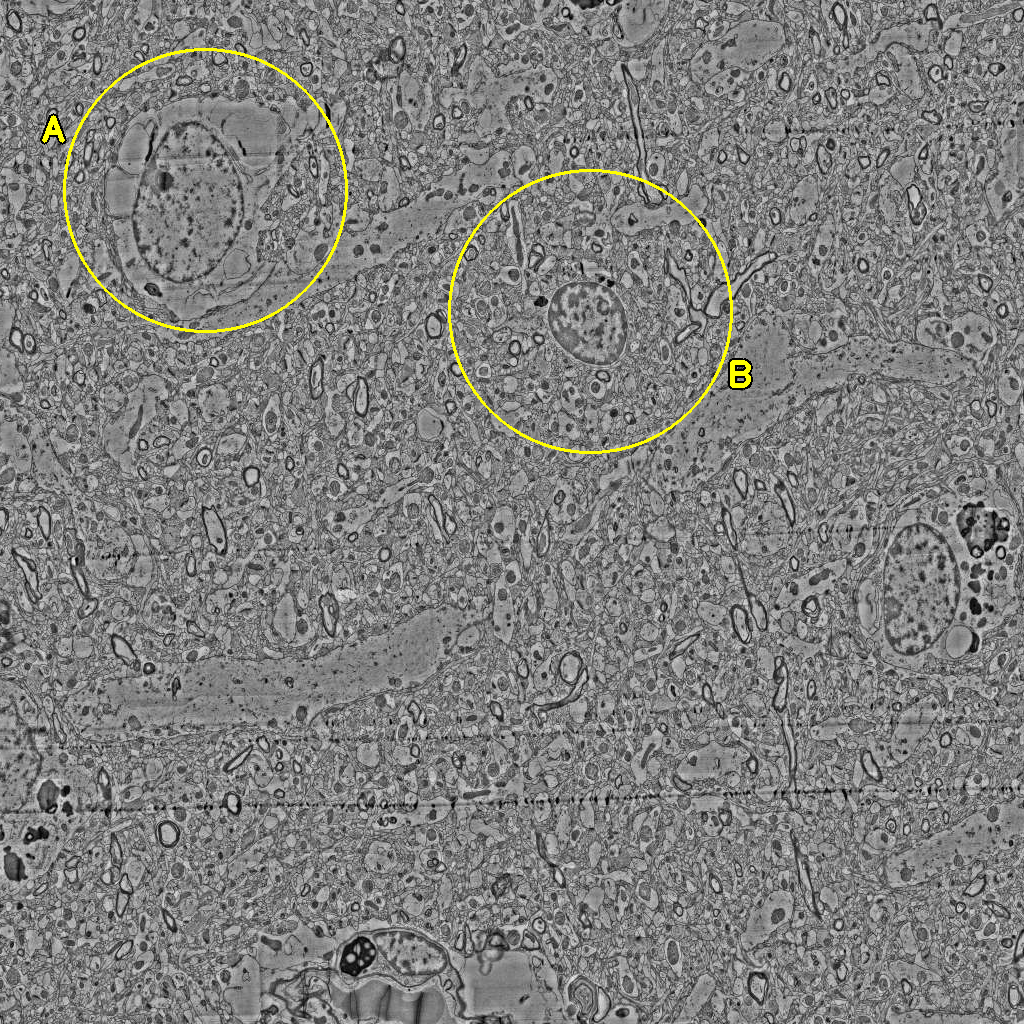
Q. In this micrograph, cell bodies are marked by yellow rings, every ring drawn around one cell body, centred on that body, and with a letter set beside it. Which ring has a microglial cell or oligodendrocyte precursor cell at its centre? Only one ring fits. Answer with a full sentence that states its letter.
The ring lettered B surrounds the cell asked for at its centre.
